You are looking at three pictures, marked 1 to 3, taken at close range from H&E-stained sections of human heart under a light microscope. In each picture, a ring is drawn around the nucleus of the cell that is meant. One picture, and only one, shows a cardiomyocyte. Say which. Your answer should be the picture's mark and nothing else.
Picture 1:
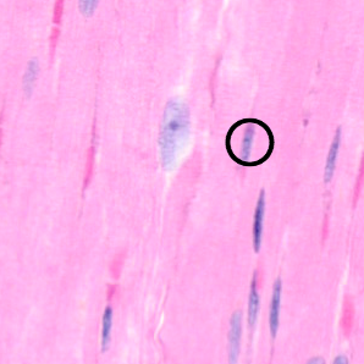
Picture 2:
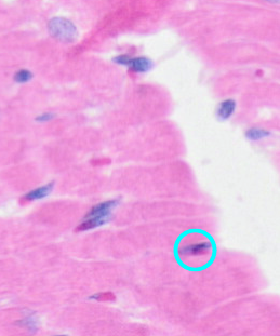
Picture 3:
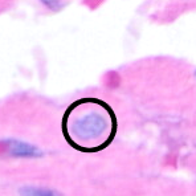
3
